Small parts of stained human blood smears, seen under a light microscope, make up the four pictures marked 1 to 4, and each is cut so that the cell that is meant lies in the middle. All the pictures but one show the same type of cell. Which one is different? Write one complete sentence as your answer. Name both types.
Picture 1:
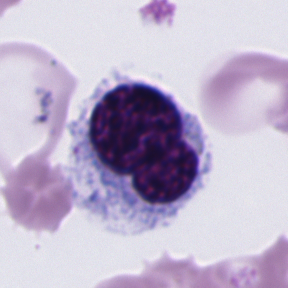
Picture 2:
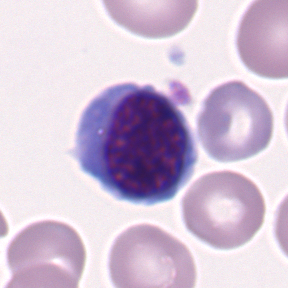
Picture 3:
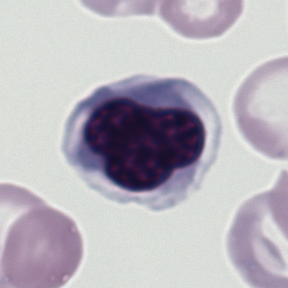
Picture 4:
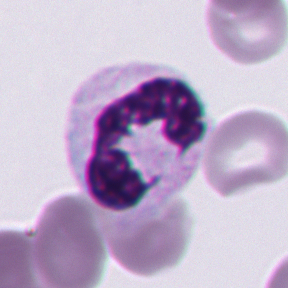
The others show normoblasts, but picture 4 shows a segmented neutrophil.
